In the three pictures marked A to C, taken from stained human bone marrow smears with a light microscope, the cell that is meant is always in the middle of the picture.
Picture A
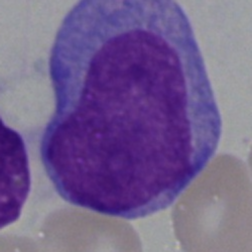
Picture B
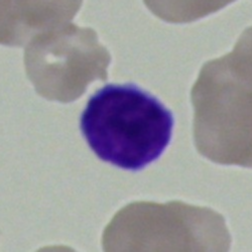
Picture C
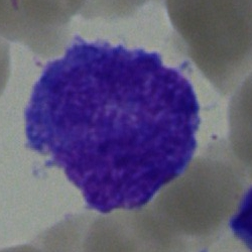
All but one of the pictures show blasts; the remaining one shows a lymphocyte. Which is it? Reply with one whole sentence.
Picture B shows the lymphocyte.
